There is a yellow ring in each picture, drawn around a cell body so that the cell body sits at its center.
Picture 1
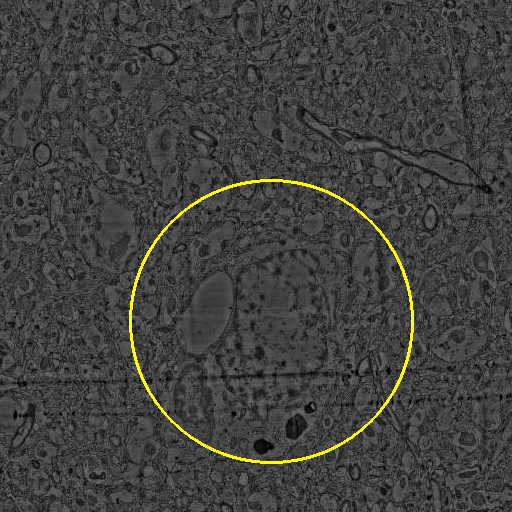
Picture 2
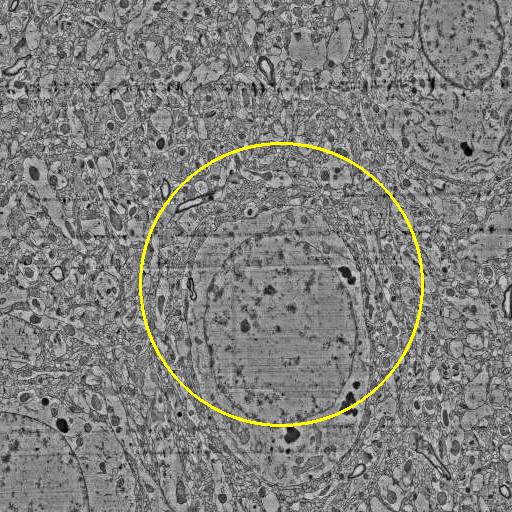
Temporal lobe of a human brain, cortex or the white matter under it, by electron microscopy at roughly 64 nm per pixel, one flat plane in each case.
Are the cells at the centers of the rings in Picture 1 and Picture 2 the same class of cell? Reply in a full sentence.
Yes, the two cells are the same class of cell.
